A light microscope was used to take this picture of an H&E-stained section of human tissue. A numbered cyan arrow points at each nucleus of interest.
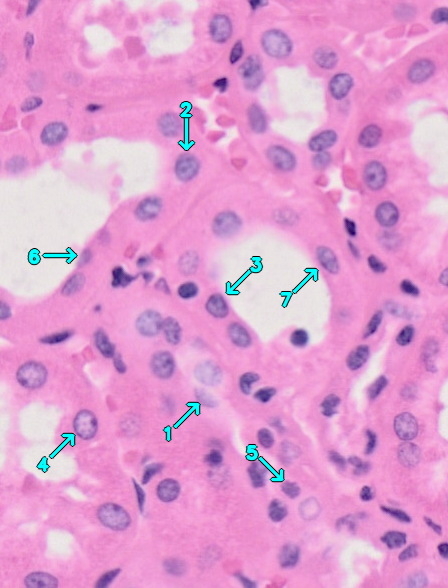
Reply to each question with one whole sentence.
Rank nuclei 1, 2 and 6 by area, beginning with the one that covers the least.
The order from the smallest nucleus to the largest is 6, 1, 2.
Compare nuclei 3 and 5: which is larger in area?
Nucleus 3 is larger, with an area about 1.5 times that of nucleus 5.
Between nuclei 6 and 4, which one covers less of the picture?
It is nucleus 6; nucleus 4 has about 4 times its area.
